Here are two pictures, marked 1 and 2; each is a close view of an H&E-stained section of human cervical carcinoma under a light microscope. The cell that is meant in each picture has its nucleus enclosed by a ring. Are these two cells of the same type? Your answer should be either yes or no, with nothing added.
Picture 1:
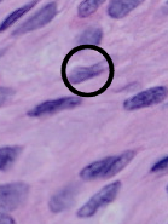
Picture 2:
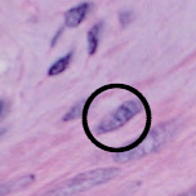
no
